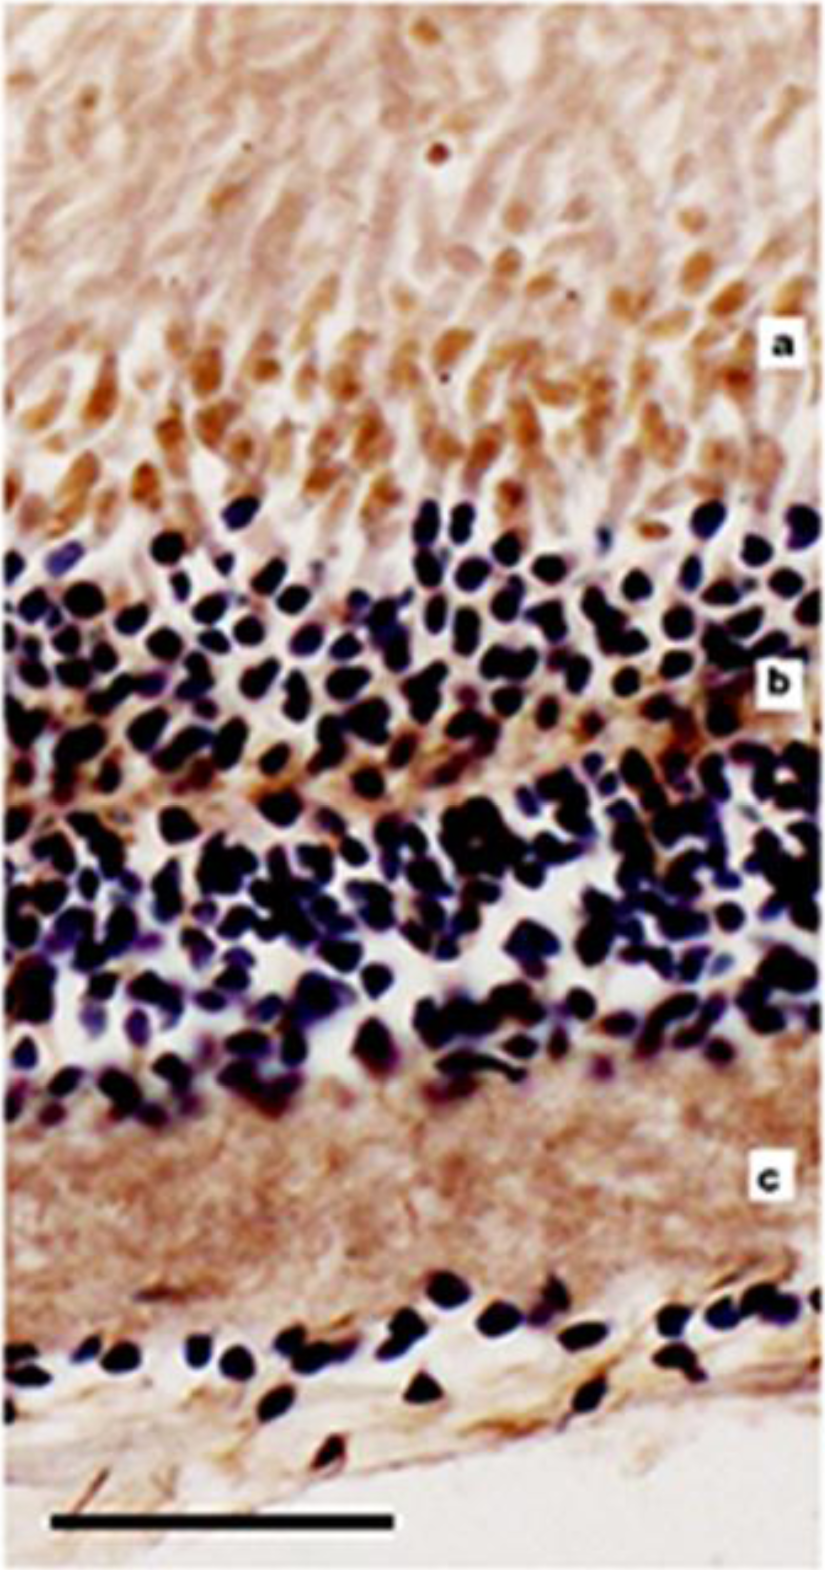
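This is a cross-section of the retina in which the nuclei appear dark blue-black and a brown stain marks parts of the tissue. At the top, the photoreceptor layer is made of slender, obliquely oriented profiles that are stained brown, more strongly toward the nuclei. Below it lie two thick bands of crowded dark nuclei, the outer and inner nuclear layers, with brownish strands running between them in the thin outer plexiform layer.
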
